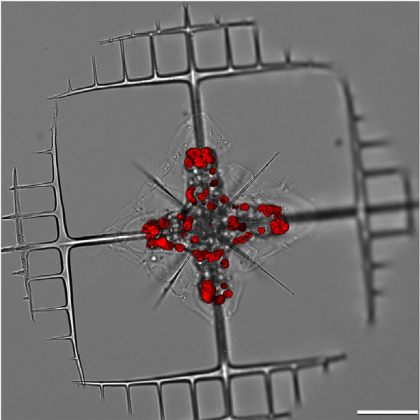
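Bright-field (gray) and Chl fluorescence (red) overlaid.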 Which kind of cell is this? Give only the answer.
Acantharian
